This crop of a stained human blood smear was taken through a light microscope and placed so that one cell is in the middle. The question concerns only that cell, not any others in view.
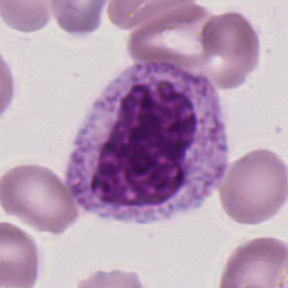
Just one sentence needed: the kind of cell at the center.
The centrally placed cell is classified as a metamyelocyte.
